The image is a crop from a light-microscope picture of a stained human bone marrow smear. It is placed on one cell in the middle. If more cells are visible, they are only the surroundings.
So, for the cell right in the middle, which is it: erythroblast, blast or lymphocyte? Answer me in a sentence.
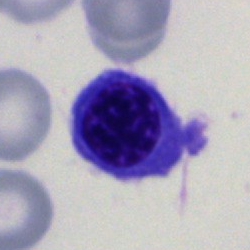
Of the cells in this crop, the central one is an erythroblast.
